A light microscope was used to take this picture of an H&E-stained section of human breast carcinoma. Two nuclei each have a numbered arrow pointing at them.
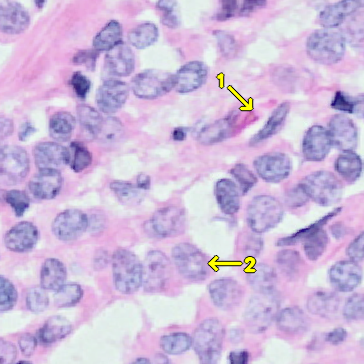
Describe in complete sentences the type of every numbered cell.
Cell 1 is an endothelial cell and cell 2 is a carcinoma cell.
